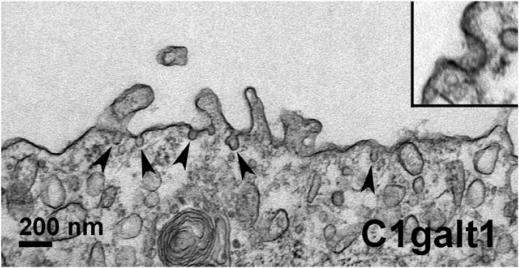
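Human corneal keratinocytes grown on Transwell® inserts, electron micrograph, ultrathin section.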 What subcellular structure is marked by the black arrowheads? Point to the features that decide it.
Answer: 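Membrane invaginations. Arrowheads point to small pits where the surface membrane dips into the cytoplasm. The pits sit along the free upper cell surface among microvilli-like projections.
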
